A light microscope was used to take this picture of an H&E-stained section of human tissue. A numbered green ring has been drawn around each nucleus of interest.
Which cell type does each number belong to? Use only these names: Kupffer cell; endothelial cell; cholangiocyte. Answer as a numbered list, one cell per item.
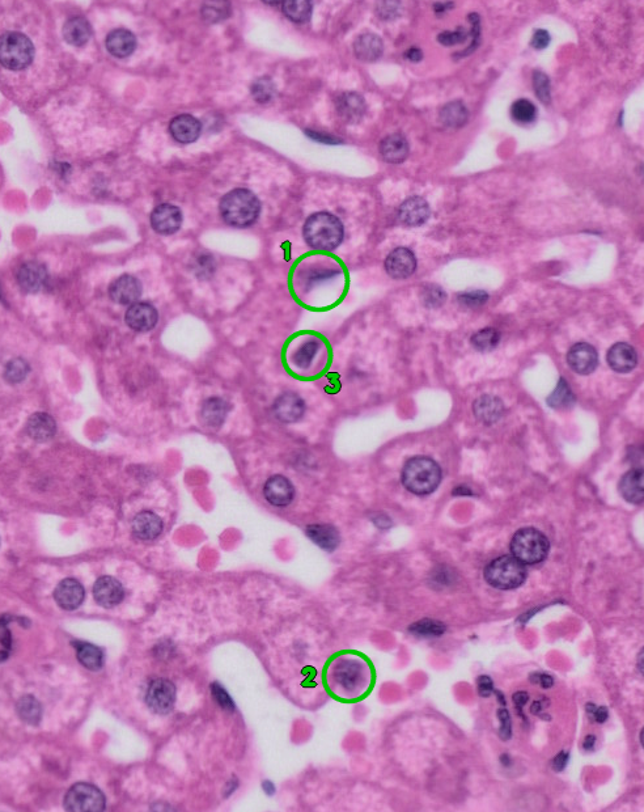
1. endothelial cell
2. Kupffer cell
3. Kupffer cell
